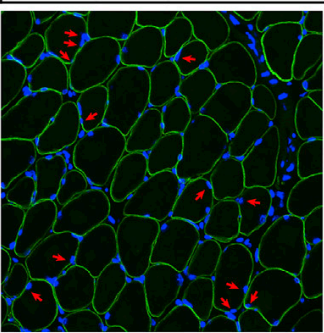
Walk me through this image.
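Transversely cut skeletal muscle fills the field: myofibers packed side by side, each bounded by a thin continuous green ring, their interiors dark and without nuclei in the centre. The fibers are polygonal to rounded and vary in size. Blue oval or flattened nuclei sit at the fiber margins, pressed against the green ring, and others lie in the spaces between fibers, some clustered where several fibers meet.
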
